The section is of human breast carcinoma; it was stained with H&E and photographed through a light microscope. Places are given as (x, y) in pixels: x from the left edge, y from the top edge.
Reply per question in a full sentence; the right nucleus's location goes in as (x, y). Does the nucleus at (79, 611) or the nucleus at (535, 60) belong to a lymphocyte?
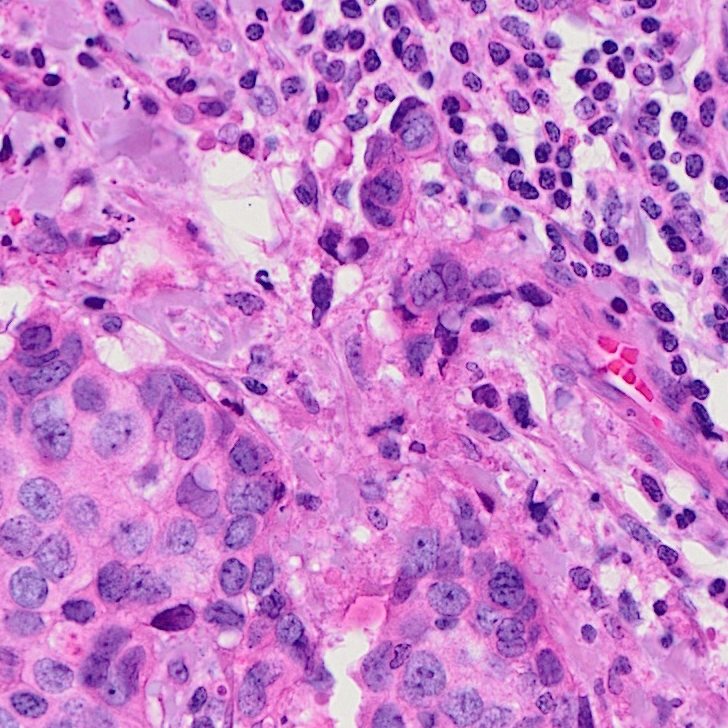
The nucleus at (535, 60) is the member of the pair belonging to a lymphocyte.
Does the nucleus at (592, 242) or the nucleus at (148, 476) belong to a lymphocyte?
The nucleus located at (592, 242) is the one held within a lymphocyte.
